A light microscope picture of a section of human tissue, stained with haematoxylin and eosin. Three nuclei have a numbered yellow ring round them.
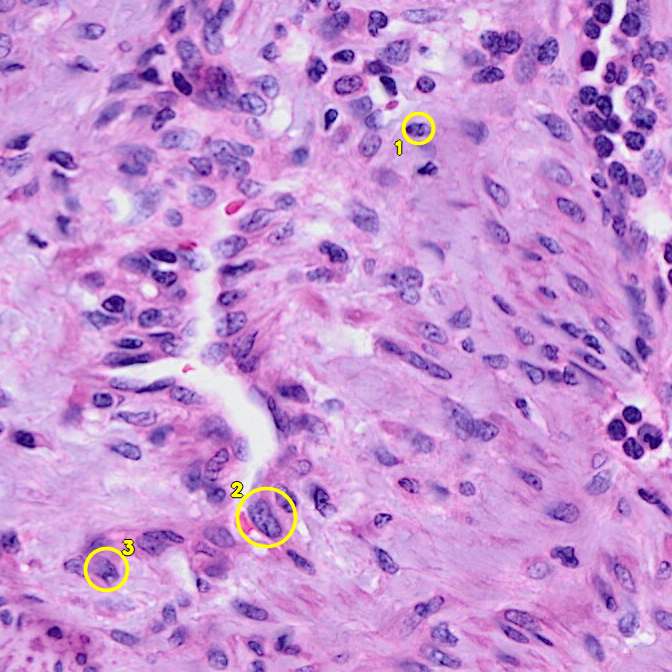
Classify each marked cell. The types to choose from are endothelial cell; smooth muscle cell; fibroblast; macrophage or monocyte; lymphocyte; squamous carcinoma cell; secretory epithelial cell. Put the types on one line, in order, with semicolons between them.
lymphocyte; endothelial cell; endothelial cell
